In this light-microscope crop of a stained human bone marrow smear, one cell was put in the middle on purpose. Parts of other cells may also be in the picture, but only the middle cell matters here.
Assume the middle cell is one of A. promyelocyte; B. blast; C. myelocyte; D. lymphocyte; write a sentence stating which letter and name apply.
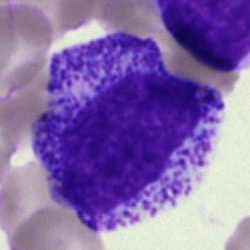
That cell in the center is a myelocyte, hence option C.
